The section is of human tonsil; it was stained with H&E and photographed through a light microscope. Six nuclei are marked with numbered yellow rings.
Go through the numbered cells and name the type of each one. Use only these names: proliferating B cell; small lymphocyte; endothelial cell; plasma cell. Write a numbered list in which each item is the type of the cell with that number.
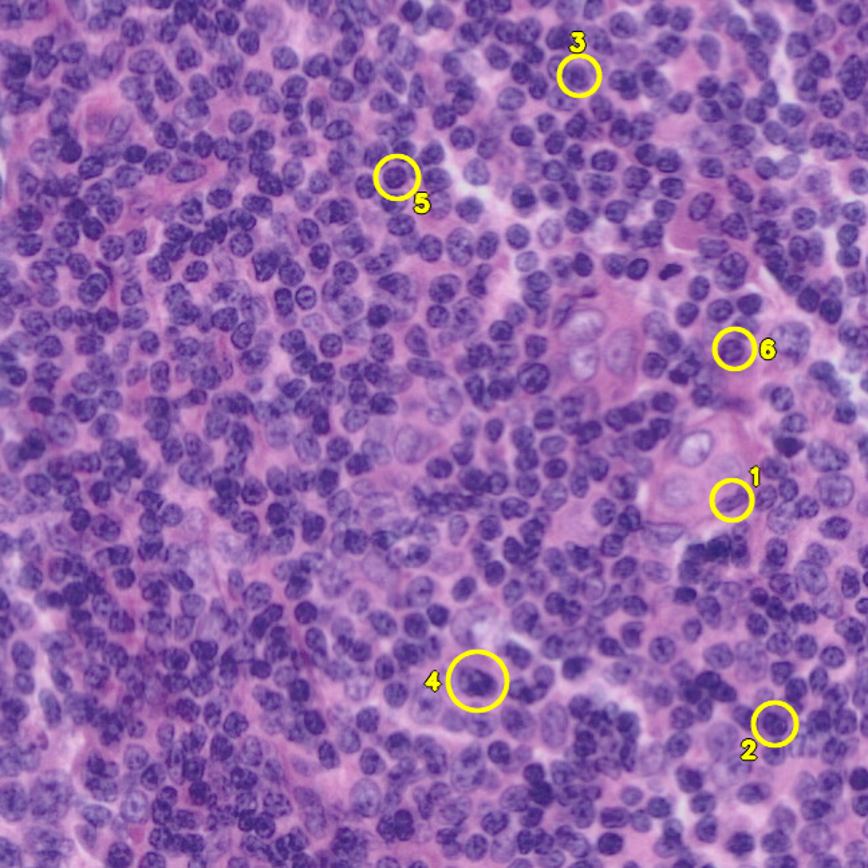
1. endothelial cell
2. small lymphocyte
3. small lymphocyte
4. proliferating B cell
5. small lymphocyte
6. plasma cell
